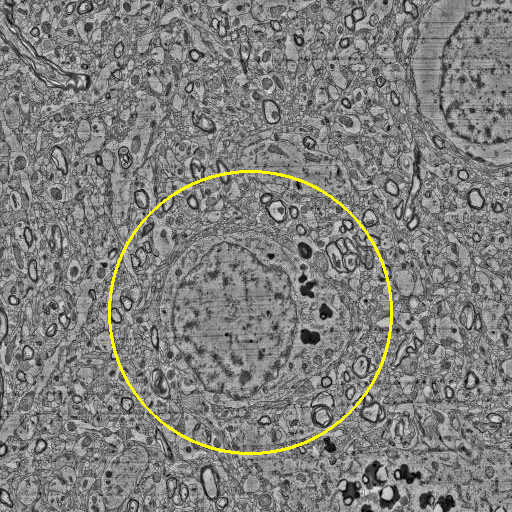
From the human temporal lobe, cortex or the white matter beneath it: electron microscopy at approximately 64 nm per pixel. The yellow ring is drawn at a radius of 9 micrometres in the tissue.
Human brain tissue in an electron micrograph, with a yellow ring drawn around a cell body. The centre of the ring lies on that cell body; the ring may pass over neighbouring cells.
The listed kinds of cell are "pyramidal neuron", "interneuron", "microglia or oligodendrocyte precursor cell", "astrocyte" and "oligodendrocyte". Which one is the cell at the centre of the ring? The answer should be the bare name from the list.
interneuron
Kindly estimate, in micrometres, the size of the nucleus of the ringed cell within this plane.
The nucleus measures about 10 by 8 micrometres in this plane.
